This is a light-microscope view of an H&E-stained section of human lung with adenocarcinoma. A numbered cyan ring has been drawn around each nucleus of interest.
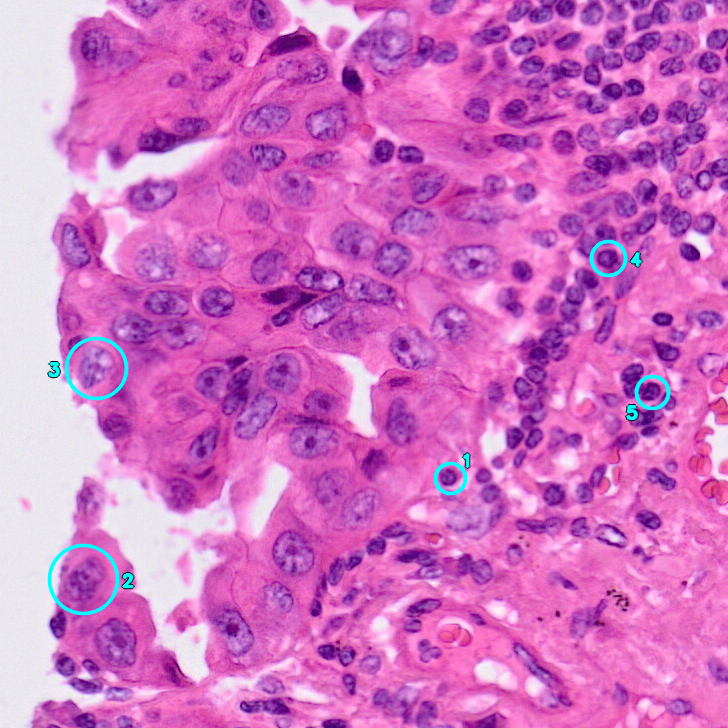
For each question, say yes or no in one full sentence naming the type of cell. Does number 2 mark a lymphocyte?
No, cell 2 counts as a carcinoma cell rather than as a lymphocyte.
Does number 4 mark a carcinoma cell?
No, number 4 corresponds to a lymphocyte, not a carcinoma cell.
